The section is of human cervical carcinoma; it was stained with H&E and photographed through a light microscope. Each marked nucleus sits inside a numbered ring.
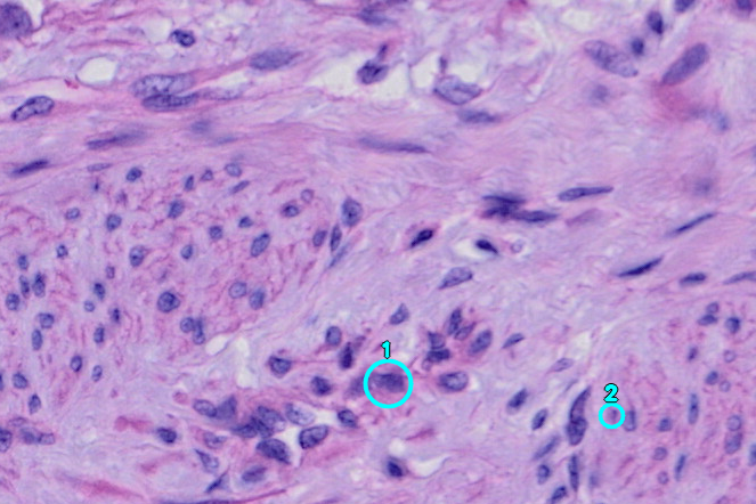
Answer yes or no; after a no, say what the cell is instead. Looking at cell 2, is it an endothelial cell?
No, it is a smooth muscle cell.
